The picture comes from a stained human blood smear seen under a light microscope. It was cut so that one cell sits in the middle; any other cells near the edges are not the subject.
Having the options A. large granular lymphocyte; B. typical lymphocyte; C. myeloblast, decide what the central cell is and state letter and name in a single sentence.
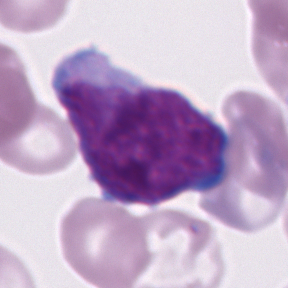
The centered cell is a myeloblast, which is why option C is right.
